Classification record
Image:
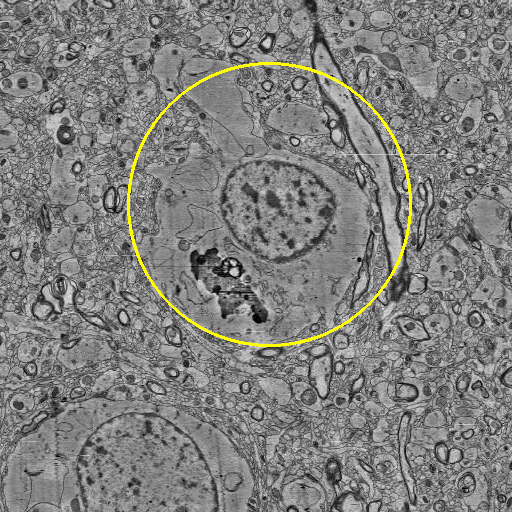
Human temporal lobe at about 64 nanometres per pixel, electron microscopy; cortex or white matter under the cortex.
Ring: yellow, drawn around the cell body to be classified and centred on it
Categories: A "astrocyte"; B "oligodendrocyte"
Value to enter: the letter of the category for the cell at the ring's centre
A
